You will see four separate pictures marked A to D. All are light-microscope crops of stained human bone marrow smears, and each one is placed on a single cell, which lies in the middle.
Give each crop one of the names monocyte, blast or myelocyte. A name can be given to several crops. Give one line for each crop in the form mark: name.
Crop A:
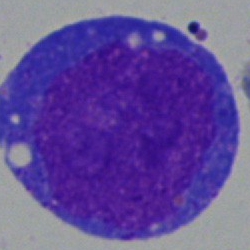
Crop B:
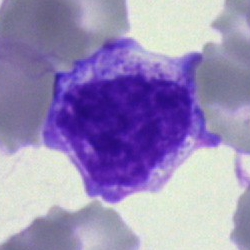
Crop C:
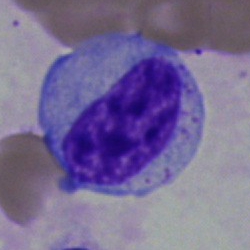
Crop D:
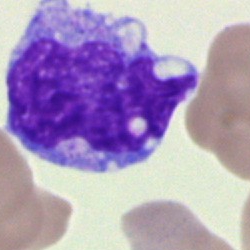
A: blast
B: myelocyte
C: myelocyte
D: monocyte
